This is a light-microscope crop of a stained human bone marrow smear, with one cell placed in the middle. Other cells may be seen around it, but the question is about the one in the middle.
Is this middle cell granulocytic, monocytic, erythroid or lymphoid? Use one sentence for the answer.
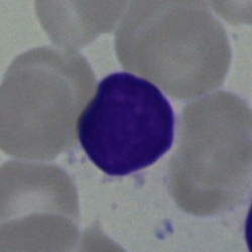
The lineage to which the central cell belongs is lymphoid.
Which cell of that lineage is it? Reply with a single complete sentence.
In the centre of this crop there is a lymphocyte.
